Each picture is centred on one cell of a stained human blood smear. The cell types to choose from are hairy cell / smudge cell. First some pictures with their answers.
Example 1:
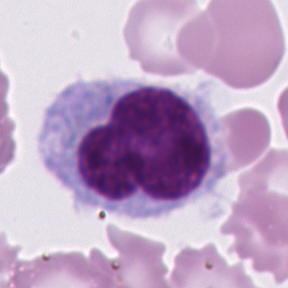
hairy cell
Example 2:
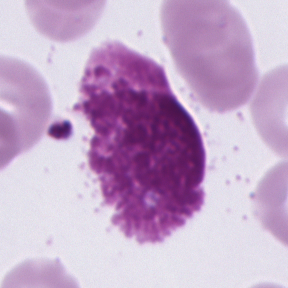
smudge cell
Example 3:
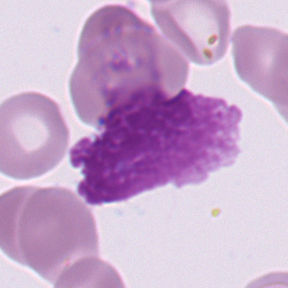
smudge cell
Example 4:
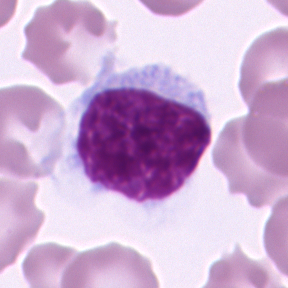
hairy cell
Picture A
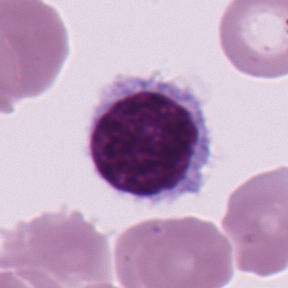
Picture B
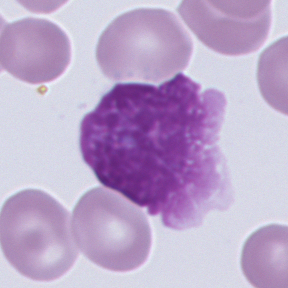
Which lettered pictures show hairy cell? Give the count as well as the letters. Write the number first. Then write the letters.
1: A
